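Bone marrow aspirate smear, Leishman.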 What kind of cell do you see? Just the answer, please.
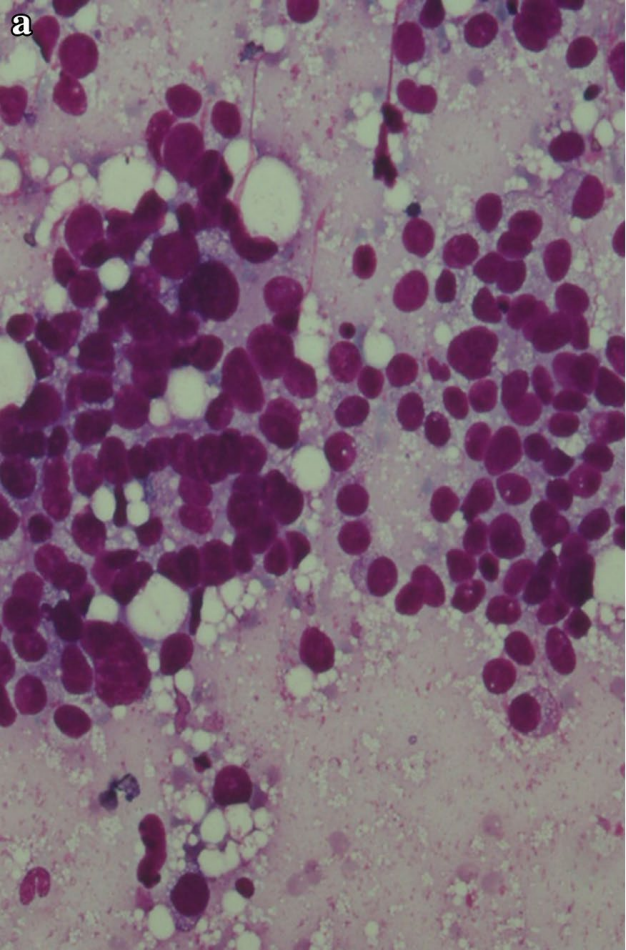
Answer: Metastatic tumor cells.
